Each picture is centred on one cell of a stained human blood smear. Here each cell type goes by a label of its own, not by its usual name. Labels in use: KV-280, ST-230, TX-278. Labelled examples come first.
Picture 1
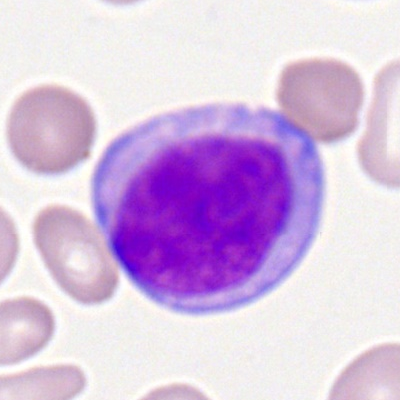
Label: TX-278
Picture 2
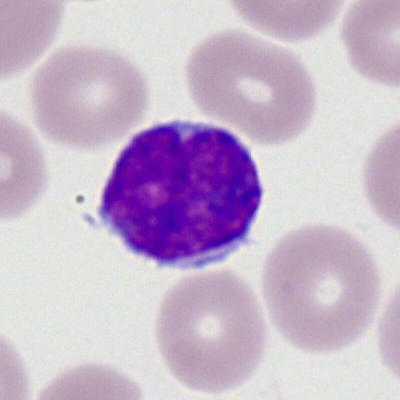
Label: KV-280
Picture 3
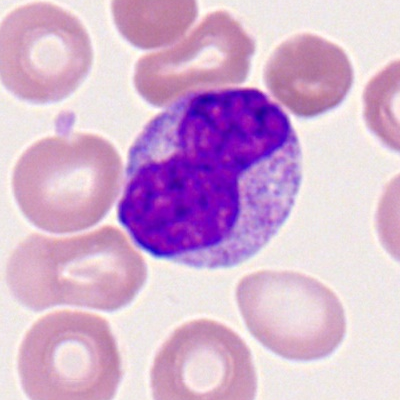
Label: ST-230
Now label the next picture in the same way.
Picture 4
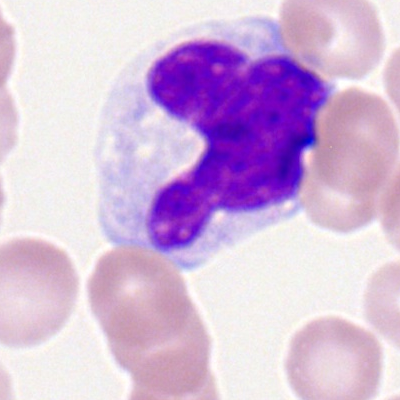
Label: ST-230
